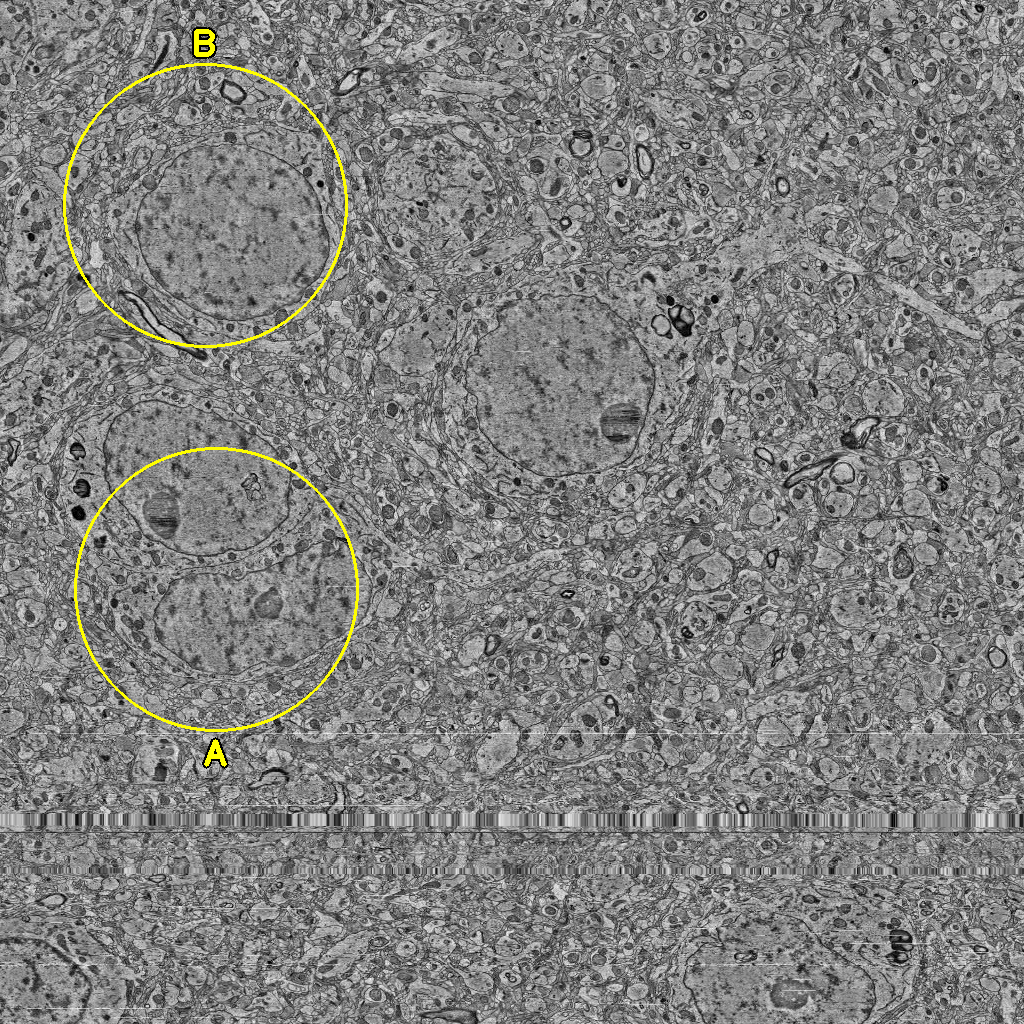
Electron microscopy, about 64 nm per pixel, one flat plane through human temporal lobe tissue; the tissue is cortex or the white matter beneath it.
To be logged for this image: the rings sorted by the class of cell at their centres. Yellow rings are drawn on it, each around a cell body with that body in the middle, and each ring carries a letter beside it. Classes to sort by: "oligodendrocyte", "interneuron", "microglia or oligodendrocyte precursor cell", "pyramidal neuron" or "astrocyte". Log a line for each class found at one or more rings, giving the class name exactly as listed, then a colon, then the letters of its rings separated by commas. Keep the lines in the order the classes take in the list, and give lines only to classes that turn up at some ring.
interneuron: A
pyramidal neuron: B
